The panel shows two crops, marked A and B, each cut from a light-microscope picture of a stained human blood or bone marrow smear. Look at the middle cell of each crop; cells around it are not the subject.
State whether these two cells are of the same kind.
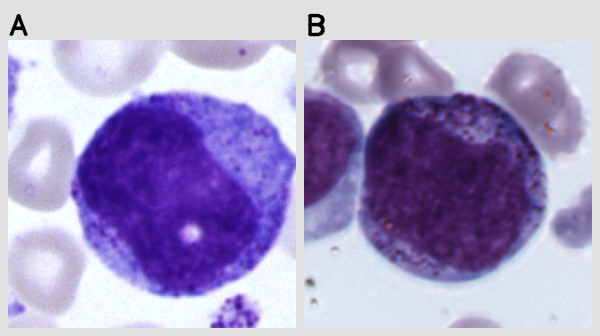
yes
